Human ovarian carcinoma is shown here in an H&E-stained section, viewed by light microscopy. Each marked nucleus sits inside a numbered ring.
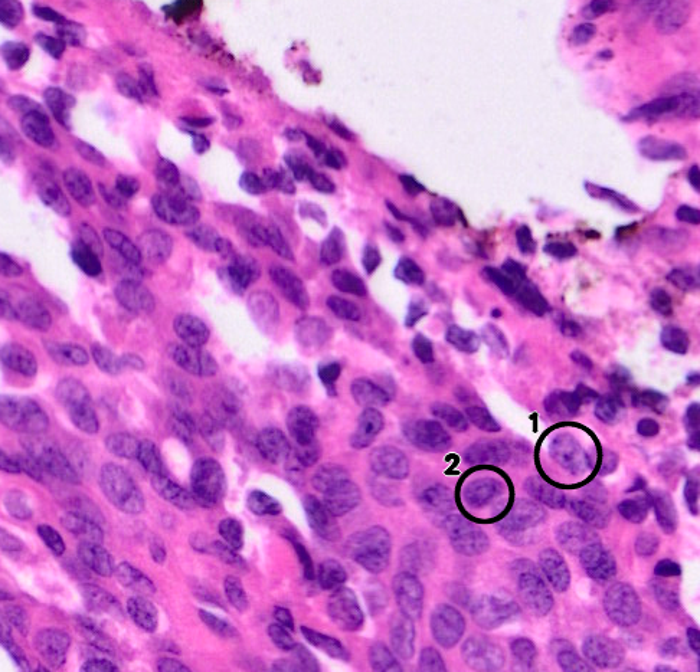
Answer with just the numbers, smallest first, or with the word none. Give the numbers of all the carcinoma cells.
2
